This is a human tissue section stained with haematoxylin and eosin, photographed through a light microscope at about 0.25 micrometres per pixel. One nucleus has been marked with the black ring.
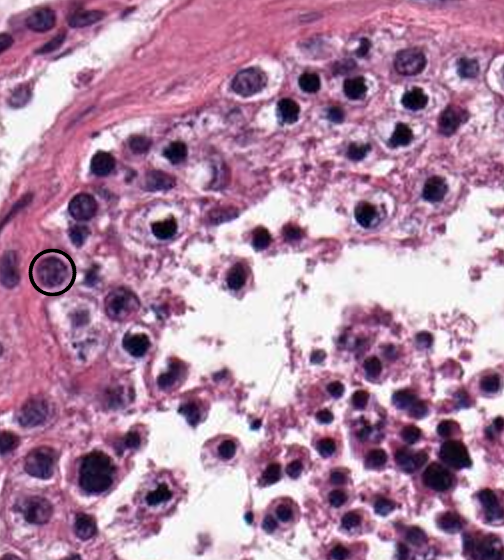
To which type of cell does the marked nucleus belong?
spermatogonium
